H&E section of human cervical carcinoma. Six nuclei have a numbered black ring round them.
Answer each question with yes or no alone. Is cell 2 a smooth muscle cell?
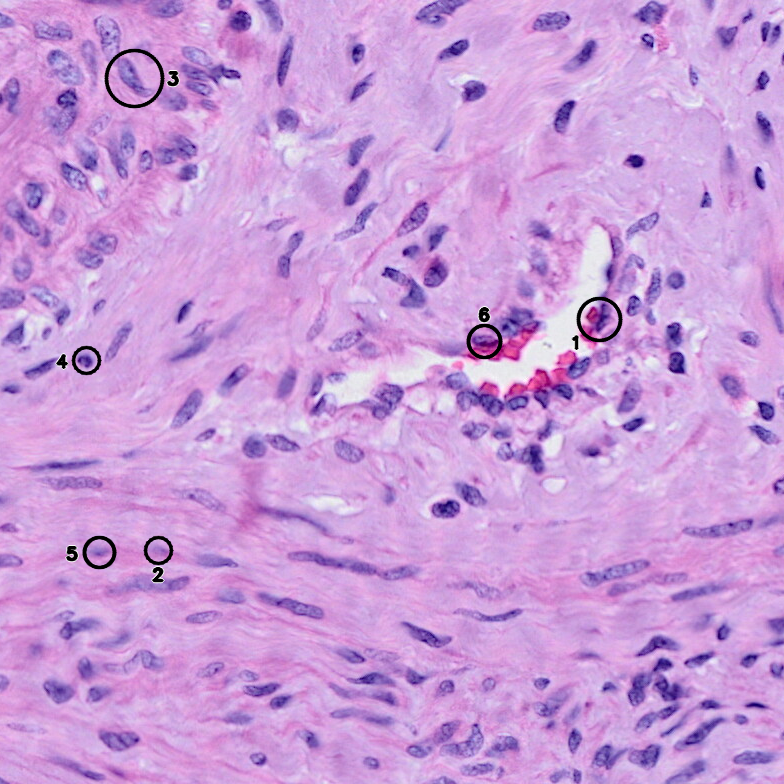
yes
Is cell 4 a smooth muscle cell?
no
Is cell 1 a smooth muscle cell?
no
